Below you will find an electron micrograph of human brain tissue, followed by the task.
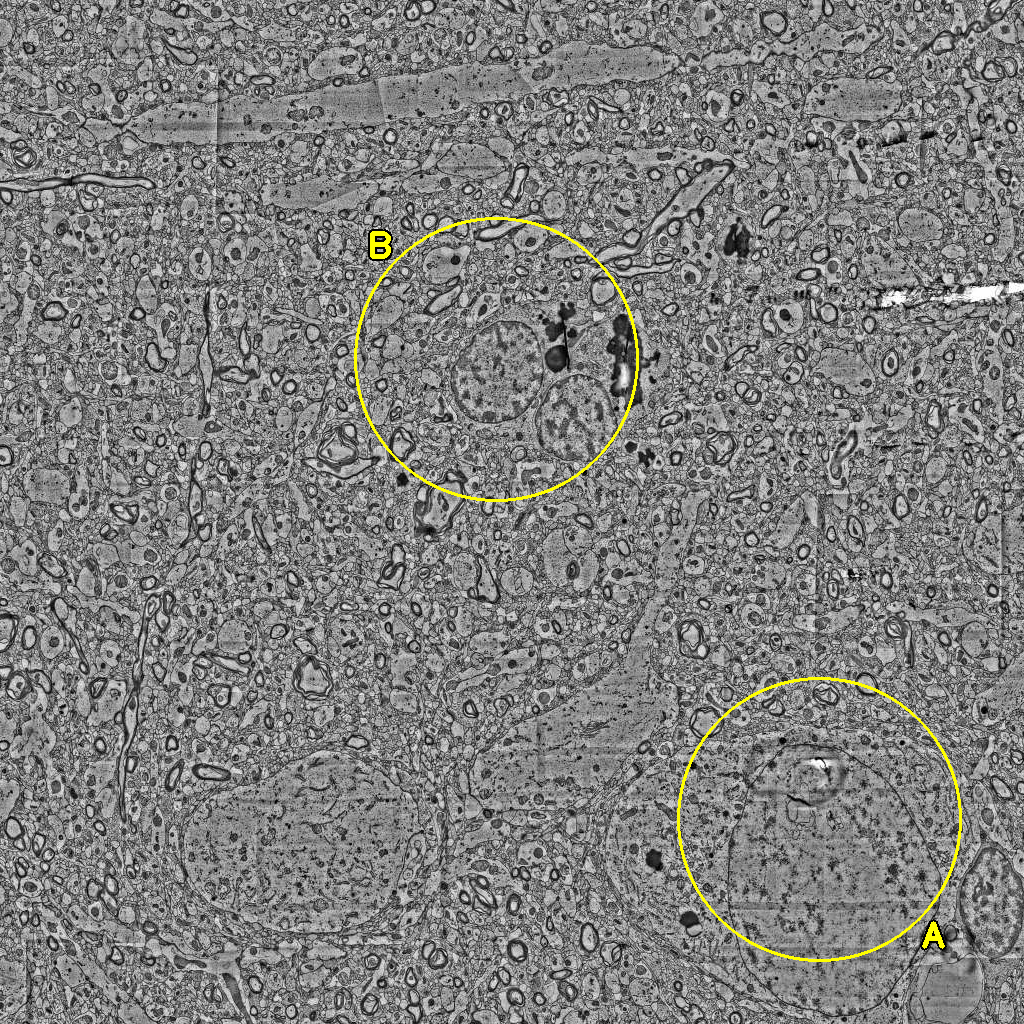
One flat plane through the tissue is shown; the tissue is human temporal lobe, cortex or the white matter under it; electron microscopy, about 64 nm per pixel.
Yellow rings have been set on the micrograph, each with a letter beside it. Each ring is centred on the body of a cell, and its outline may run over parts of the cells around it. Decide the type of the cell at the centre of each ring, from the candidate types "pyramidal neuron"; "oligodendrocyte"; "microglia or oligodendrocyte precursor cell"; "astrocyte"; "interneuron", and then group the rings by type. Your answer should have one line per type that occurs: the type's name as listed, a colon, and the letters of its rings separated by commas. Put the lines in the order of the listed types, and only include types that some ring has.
pyramidal neuron: A
oligodendrocyte: B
